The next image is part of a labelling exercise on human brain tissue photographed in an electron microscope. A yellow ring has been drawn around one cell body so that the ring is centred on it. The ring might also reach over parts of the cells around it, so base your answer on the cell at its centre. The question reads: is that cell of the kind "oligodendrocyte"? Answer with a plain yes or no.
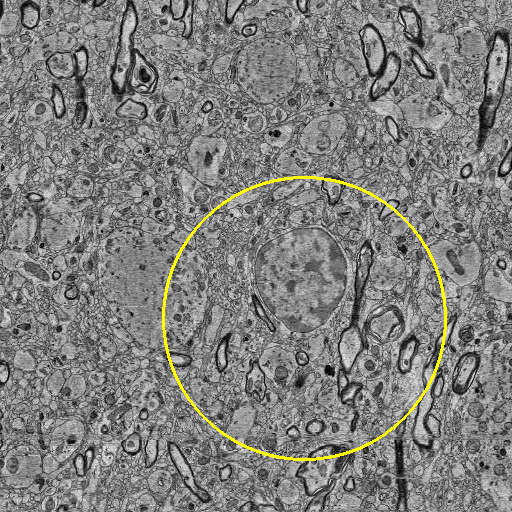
no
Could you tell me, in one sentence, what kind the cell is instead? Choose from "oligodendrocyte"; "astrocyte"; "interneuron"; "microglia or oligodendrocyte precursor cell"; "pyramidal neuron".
Instead, the cell at the centre of the yellow ring is a microglial cell or oligodendrocyte precursor cell.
